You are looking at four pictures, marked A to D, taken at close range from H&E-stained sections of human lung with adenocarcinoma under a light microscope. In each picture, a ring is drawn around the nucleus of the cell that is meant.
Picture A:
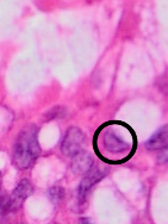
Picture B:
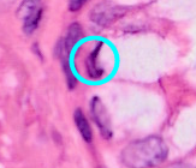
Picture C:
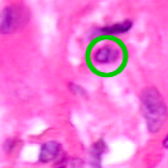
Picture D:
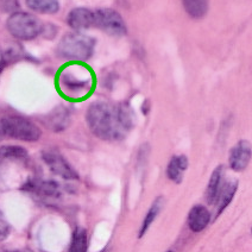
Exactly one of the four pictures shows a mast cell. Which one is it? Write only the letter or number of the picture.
C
